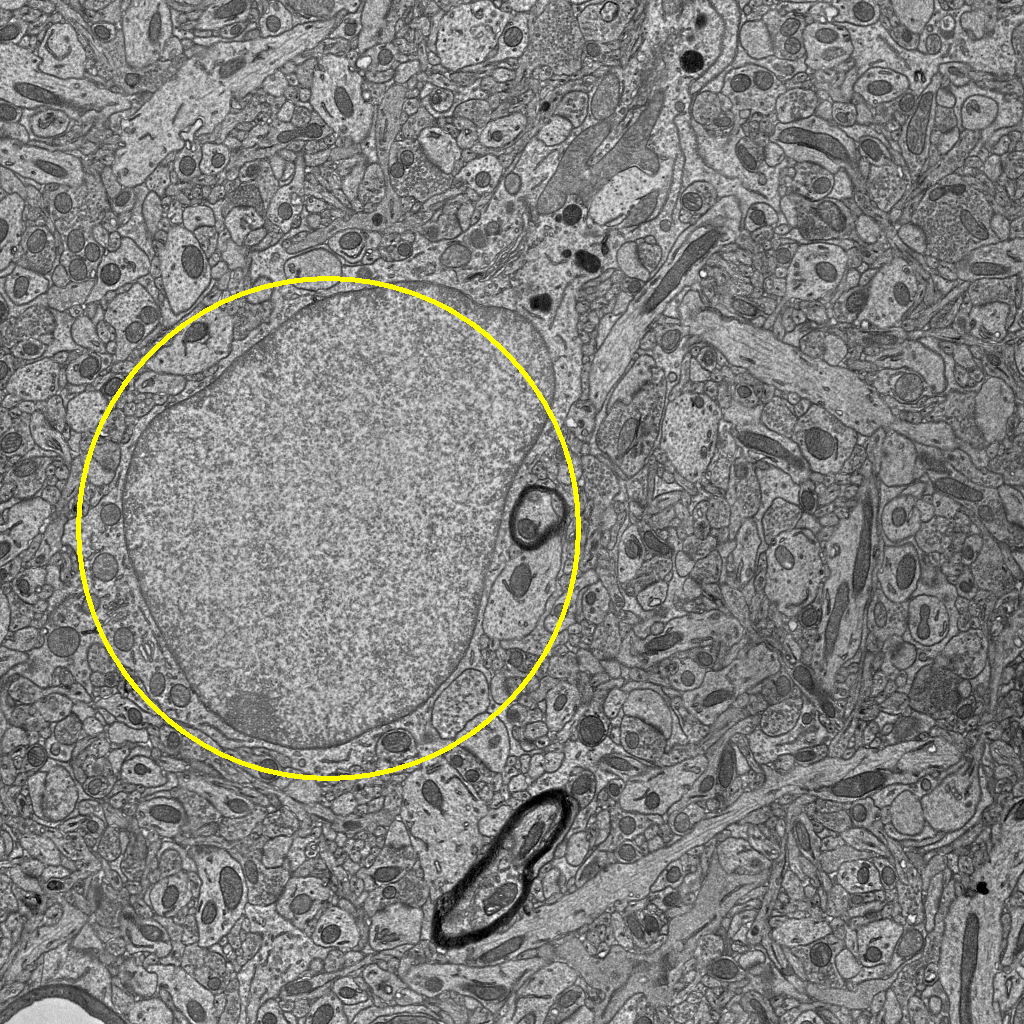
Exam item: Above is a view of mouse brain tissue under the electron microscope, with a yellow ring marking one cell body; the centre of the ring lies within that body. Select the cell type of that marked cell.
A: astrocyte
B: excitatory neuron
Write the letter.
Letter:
A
